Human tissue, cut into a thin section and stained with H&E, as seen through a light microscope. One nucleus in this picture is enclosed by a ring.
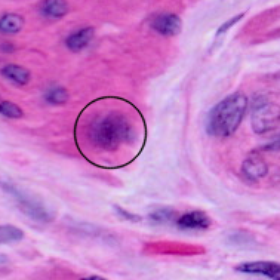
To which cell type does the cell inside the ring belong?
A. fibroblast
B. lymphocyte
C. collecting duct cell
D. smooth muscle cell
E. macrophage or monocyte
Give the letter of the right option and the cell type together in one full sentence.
Option D is right, and the cell inside the ring is a smooth muscle cell.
